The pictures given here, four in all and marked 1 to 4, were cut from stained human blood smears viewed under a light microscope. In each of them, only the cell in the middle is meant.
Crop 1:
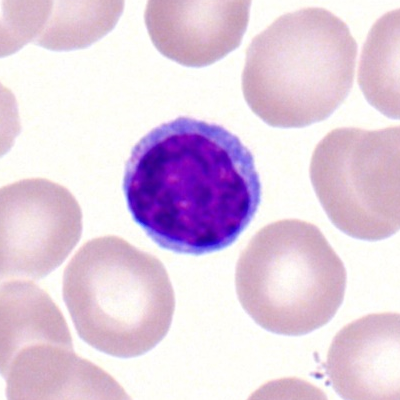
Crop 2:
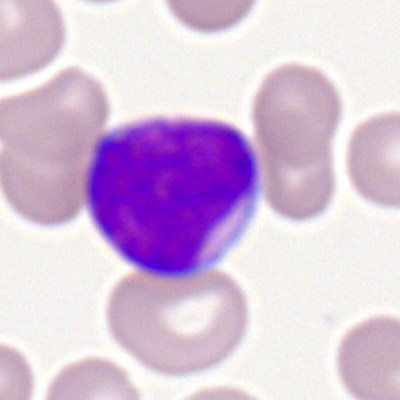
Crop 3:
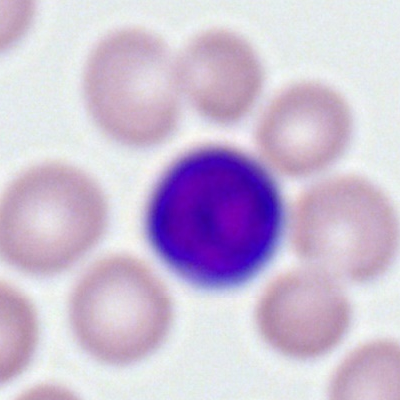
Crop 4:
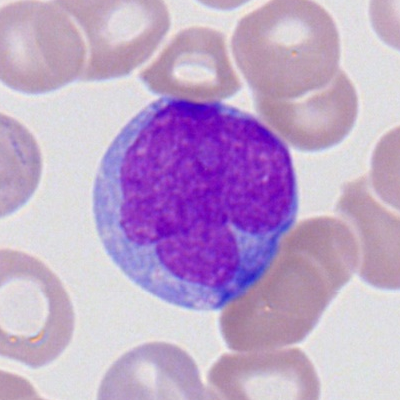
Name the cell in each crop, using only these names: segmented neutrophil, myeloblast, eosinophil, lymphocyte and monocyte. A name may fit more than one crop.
1: lymphocyte
2: myeloblast
3: lymphocyte
4: myeloblast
